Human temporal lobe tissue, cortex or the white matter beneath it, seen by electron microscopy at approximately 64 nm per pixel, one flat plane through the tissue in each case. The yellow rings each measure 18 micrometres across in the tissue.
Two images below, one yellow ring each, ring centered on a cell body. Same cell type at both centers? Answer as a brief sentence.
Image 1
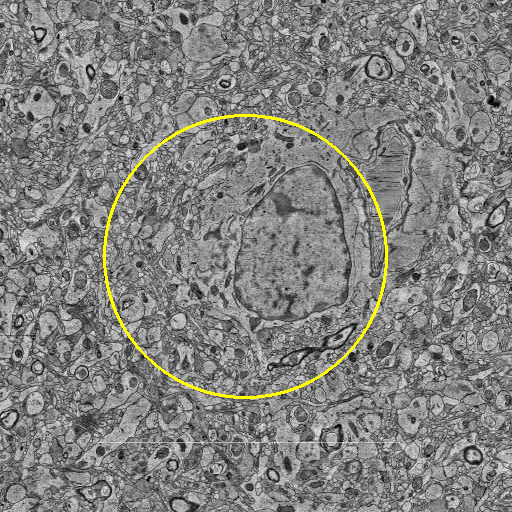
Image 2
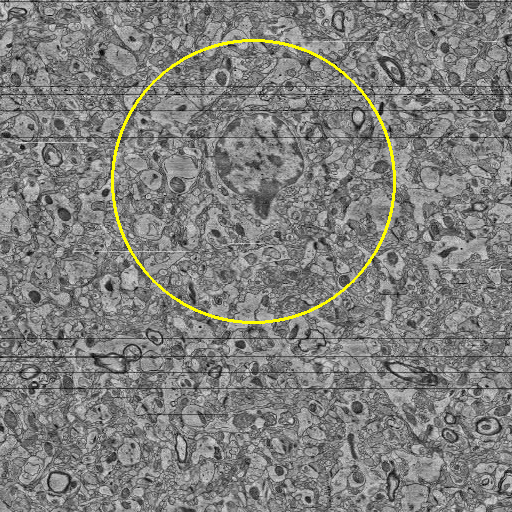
Yes, both cells are of the same type.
